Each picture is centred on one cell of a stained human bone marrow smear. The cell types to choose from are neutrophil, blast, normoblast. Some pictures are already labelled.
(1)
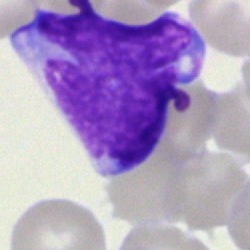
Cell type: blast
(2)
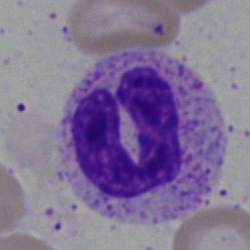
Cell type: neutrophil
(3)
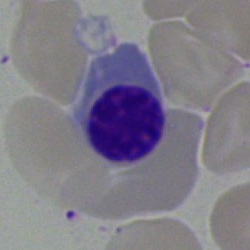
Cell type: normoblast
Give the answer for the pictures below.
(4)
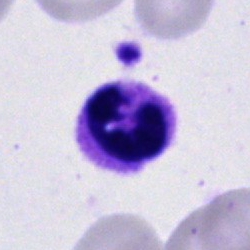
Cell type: neutrophil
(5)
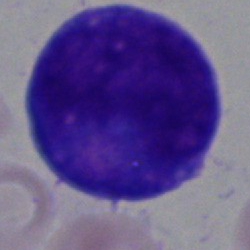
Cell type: blast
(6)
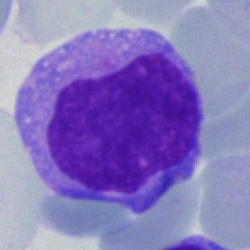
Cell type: blast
